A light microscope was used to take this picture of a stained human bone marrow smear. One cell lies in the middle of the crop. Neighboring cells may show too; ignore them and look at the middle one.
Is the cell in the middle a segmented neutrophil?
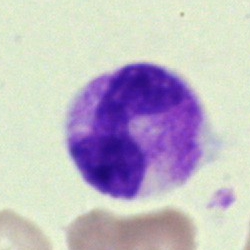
yes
